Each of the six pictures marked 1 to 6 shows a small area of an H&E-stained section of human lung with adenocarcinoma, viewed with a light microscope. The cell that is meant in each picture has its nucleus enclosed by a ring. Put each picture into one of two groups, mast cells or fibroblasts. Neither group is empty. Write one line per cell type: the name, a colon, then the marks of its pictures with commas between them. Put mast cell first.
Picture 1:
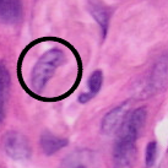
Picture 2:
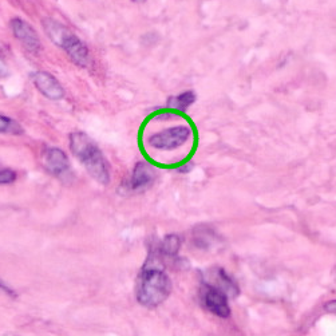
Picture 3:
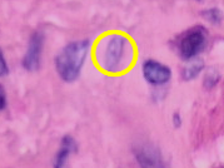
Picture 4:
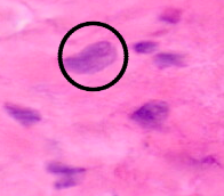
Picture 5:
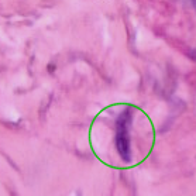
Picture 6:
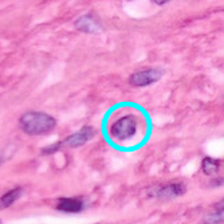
mast cell: 2, 6
fibroblast: 1, 3, 4, 5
